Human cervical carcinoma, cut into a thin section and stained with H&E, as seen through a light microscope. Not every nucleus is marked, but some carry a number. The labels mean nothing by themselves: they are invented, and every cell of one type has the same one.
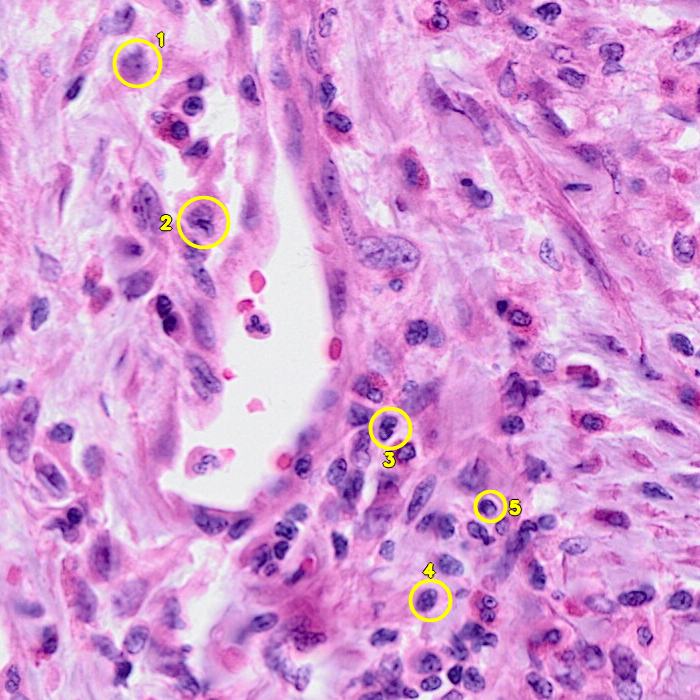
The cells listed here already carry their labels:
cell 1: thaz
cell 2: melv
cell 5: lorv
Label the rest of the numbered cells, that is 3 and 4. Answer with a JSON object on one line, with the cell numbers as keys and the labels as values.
{"3": "lorv", "4": "lorv"}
